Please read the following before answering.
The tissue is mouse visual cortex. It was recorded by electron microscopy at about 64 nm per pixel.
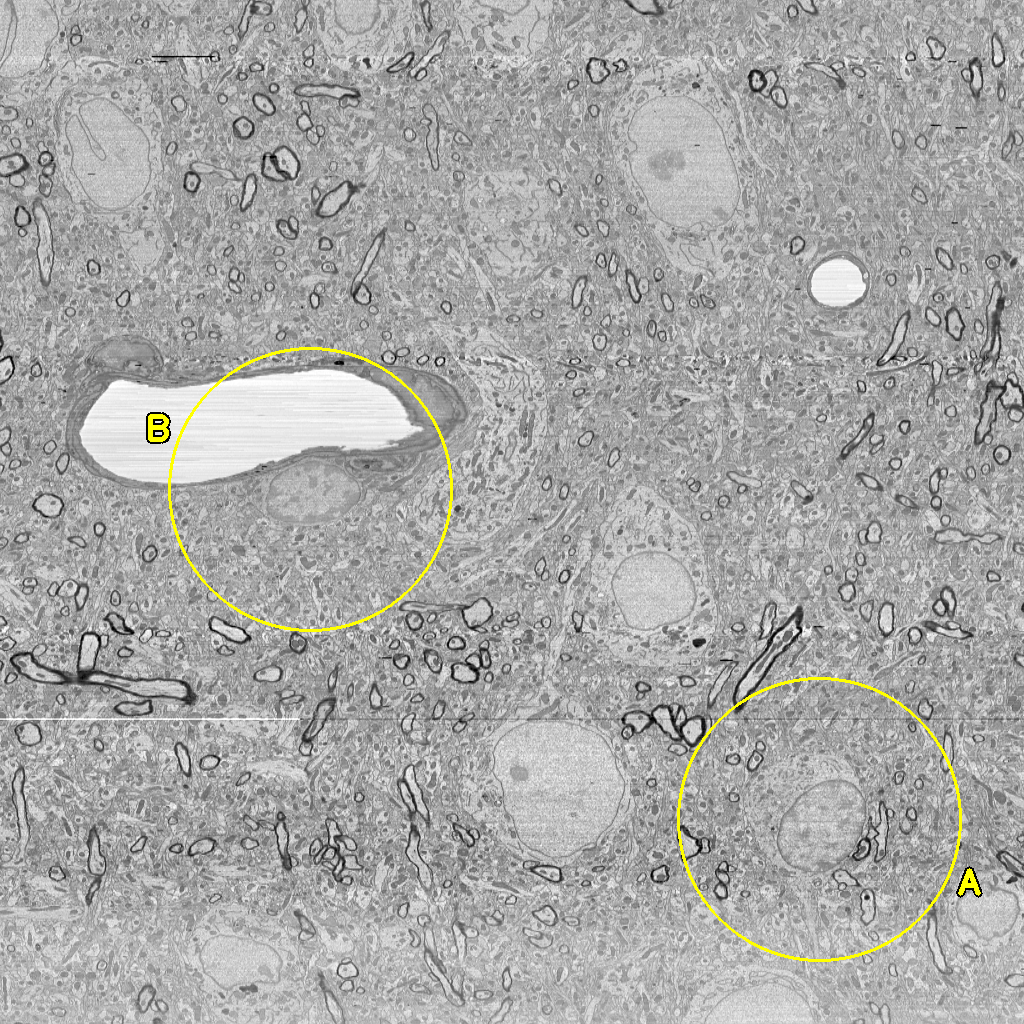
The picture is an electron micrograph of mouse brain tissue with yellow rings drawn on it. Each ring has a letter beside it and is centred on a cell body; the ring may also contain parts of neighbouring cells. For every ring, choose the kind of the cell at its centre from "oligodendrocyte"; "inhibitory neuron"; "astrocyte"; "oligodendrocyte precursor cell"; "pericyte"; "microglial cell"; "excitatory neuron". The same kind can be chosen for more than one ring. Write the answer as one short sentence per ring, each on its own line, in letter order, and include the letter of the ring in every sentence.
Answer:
The kind of cell at the centre of ring A is an oligodendrocyte.
The kind of cell at the centre of ring B is an oligodendrocyte.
